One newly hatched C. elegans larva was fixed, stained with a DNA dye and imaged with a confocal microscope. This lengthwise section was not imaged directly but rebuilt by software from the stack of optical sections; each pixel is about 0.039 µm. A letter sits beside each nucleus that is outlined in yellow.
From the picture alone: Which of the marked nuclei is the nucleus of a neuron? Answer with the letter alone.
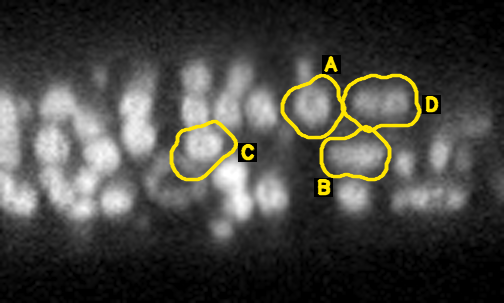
C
